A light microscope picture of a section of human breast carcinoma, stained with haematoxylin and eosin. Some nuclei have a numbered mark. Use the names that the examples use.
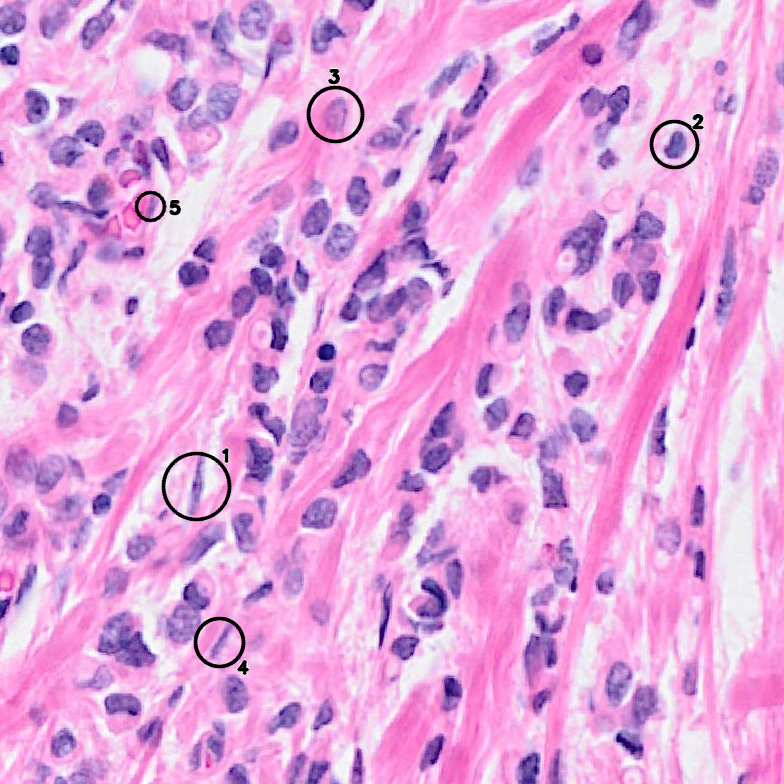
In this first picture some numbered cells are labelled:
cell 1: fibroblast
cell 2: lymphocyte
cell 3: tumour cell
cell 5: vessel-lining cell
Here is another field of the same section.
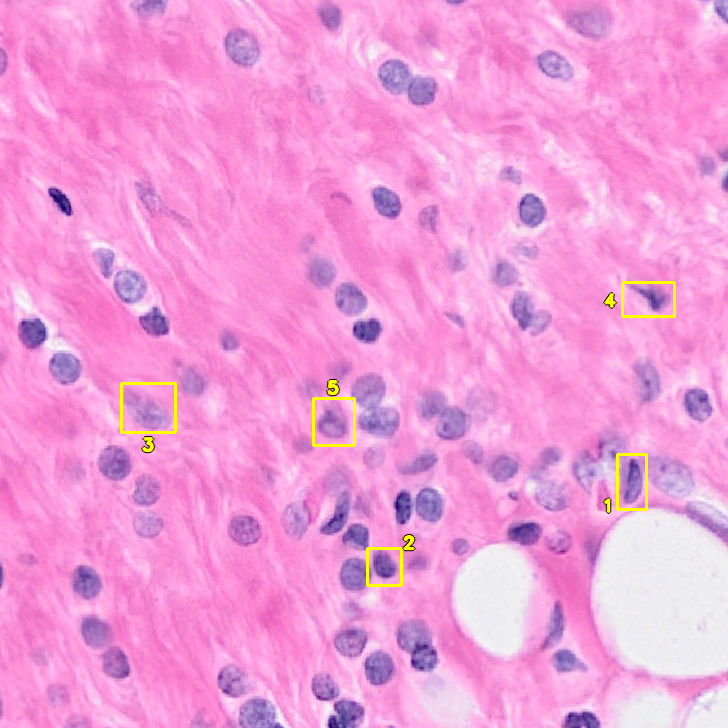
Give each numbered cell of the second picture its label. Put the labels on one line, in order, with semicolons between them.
vessel-lining cell; lymphocyte; fibroblast; fibroblast; tumour cell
